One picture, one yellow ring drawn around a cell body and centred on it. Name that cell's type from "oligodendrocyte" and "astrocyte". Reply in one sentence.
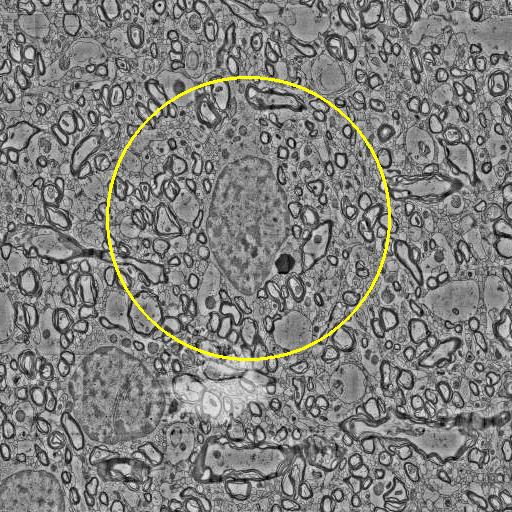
Centred in the ring is an oligodendrocyte.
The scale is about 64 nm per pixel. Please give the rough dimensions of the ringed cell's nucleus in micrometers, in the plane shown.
The nucleus measures about 9 by 6 micrometres in this plane.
